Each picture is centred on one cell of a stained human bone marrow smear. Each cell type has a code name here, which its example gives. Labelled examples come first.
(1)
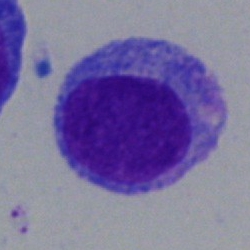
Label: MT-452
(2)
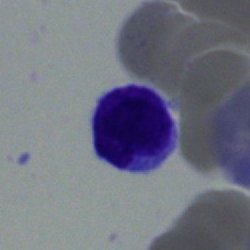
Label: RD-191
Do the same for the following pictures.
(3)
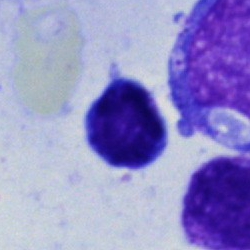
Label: RD-191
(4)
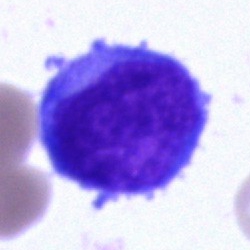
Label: MT-452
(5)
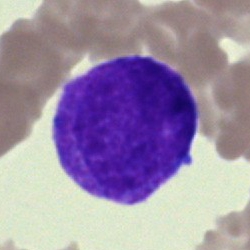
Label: MT-452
